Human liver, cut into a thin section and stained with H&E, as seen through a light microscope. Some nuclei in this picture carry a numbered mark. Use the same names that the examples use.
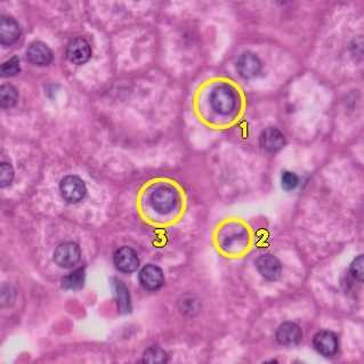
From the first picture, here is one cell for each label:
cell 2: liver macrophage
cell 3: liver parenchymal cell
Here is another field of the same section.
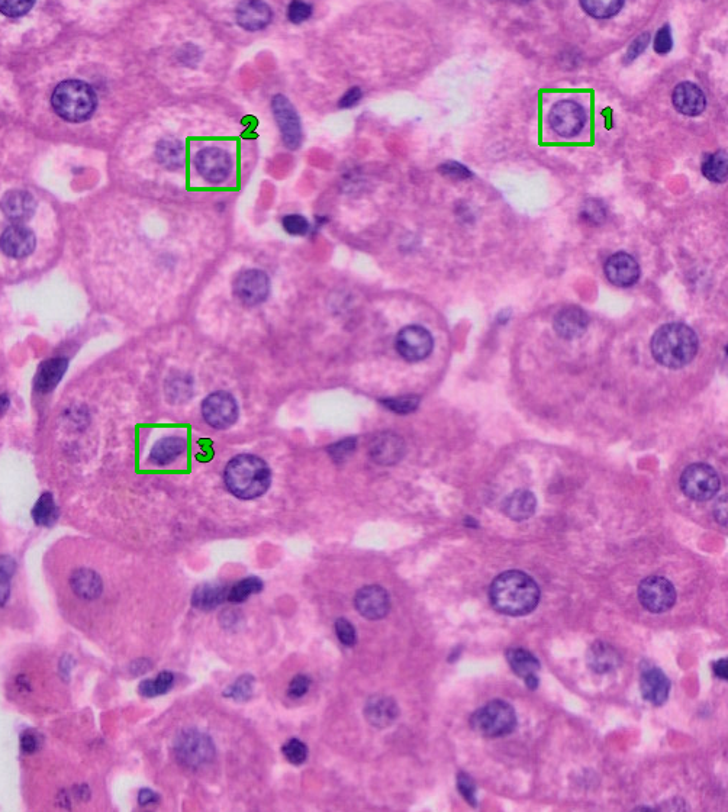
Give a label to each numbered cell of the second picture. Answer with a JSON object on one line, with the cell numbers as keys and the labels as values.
{"1": "liver parenchymal cell", "2": "liver parenchymal cell", "3": "liver macrophage"}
